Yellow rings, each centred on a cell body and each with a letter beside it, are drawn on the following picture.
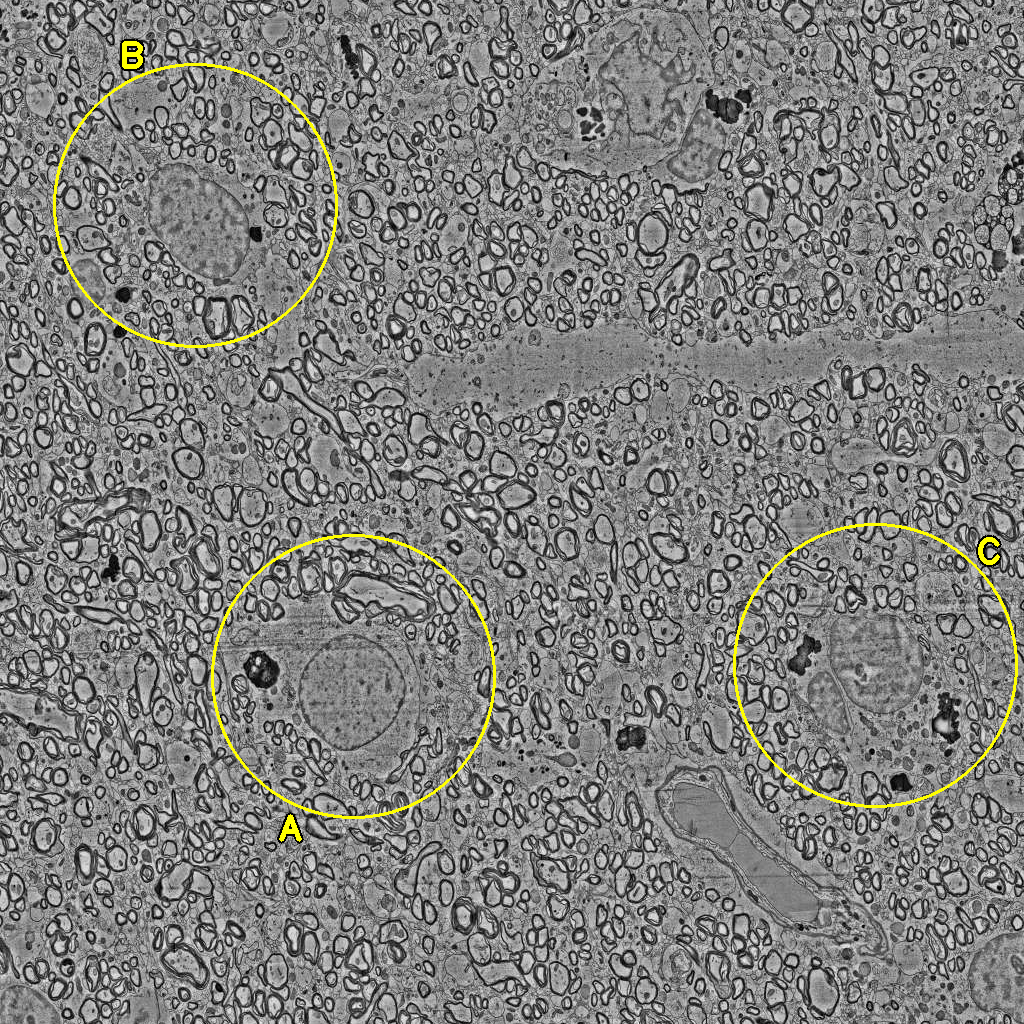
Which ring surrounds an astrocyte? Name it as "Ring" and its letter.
Ring A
